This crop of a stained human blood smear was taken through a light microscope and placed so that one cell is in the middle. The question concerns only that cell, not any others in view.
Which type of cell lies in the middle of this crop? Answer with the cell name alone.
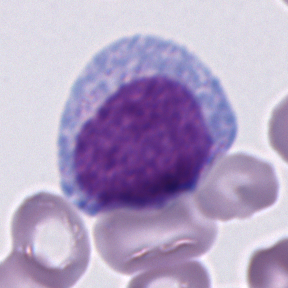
promyelocyte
